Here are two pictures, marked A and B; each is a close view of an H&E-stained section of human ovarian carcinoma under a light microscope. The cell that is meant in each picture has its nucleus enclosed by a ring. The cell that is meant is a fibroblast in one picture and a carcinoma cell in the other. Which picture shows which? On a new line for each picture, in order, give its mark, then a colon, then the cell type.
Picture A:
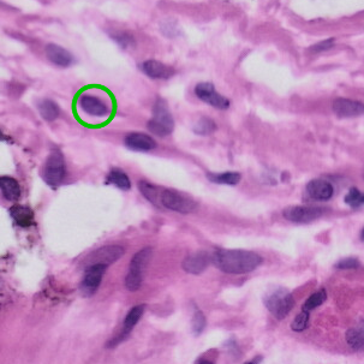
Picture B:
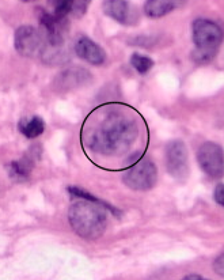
A: fibroblast
B: carcinoma cell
